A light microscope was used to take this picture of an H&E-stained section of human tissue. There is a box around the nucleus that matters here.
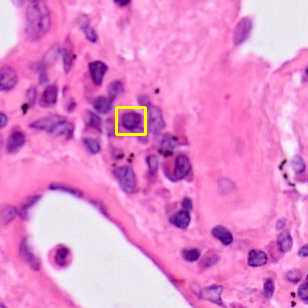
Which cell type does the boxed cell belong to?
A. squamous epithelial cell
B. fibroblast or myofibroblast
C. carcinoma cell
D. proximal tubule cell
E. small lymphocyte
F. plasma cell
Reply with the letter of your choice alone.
F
